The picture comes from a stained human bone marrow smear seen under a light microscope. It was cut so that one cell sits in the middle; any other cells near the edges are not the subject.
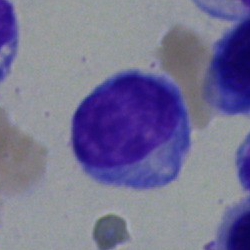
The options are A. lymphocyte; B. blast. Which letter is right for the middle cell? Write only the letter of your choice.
A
